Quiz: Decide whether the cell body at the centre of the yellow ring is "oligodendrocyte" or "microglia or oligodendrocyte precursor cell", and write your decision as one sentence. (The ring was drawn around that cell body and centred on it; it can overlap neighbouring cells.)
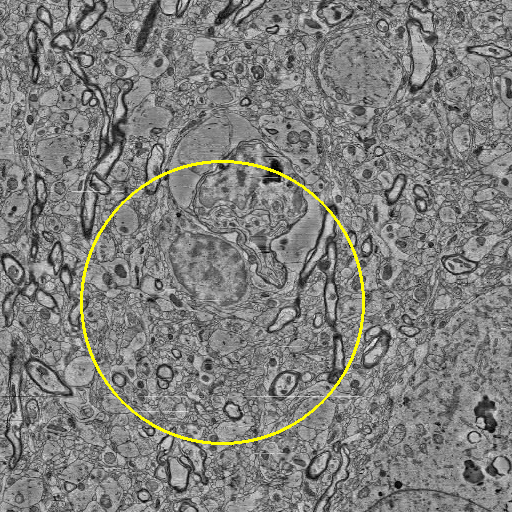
The cell the ring is centred on is an oligodendrocyte.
